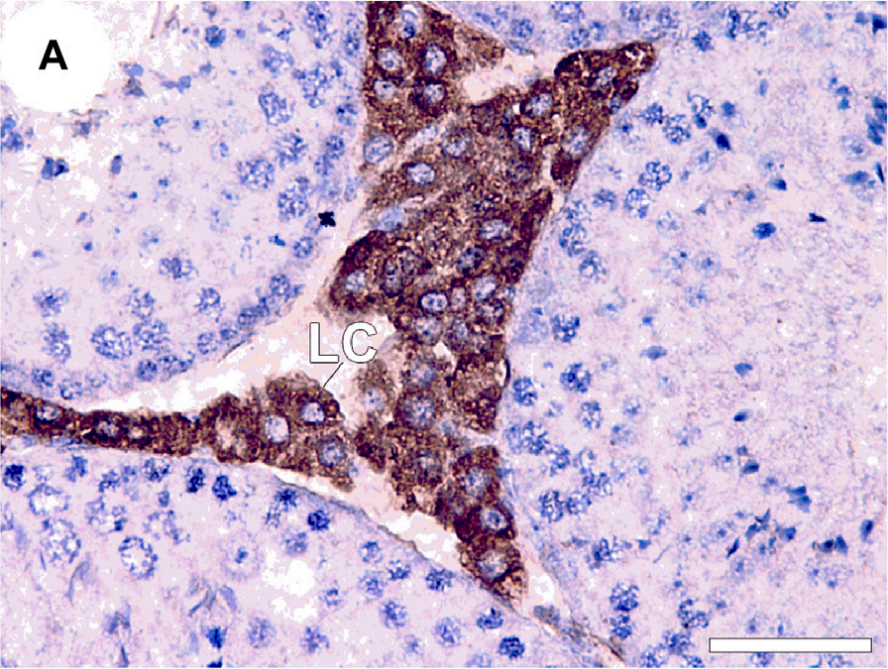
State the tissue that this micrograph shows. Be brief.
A: Testes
